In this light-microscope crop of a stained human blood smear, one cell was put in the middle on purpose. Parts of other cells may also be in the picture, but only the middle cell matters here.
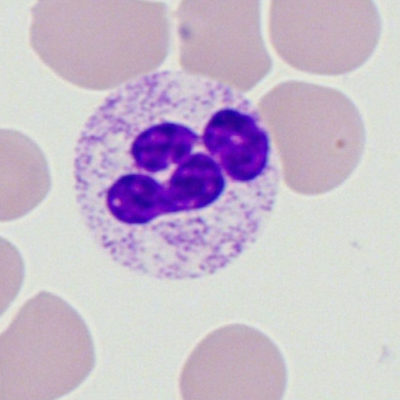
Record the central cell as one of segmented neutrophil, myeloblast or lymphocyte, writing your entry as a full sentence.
What sits at the centre of this crop is a segmented neutrophil.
